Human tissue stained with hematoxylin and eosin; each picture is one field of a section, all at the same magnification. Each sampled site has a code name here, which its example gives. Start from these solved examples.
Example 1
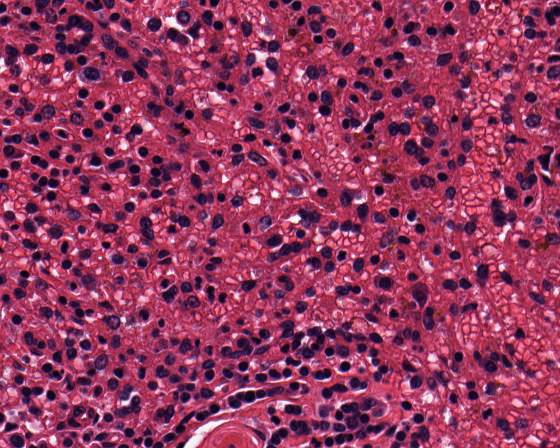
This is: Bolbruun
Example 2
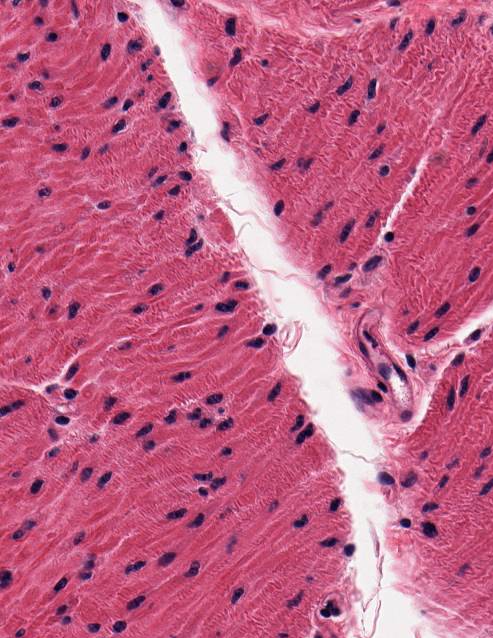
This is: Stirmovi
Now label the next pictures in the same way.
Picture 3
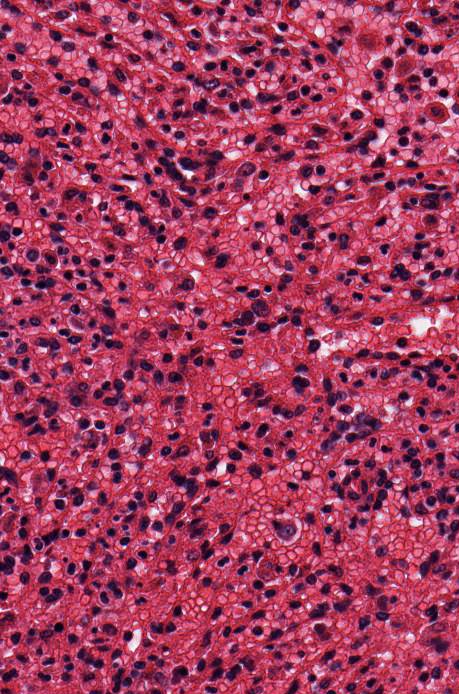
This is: Bolbruun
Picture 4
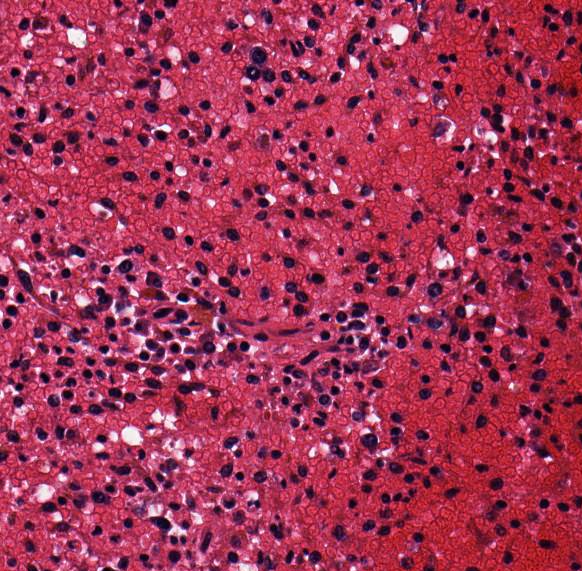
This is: Bolbruun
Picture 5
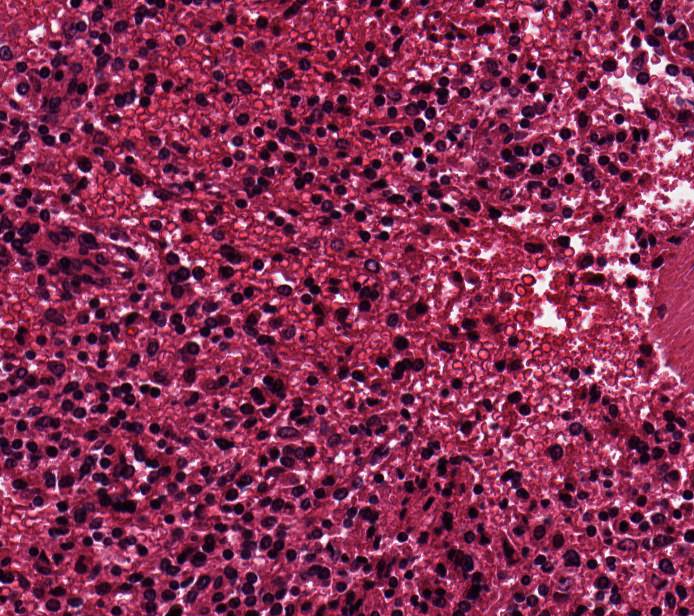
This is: Bolbruun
